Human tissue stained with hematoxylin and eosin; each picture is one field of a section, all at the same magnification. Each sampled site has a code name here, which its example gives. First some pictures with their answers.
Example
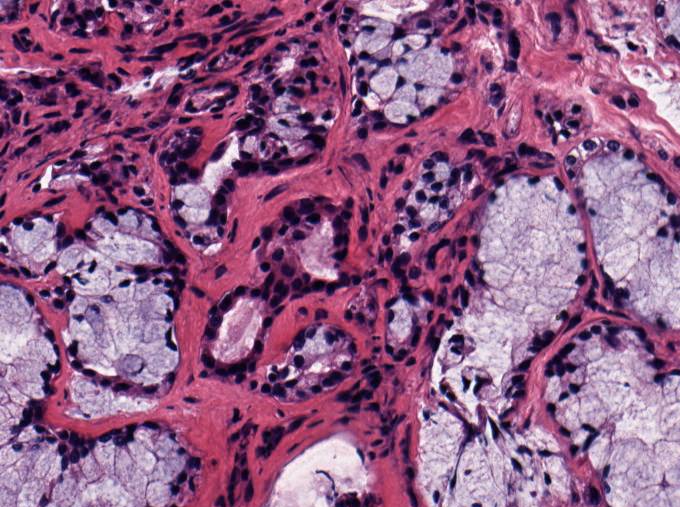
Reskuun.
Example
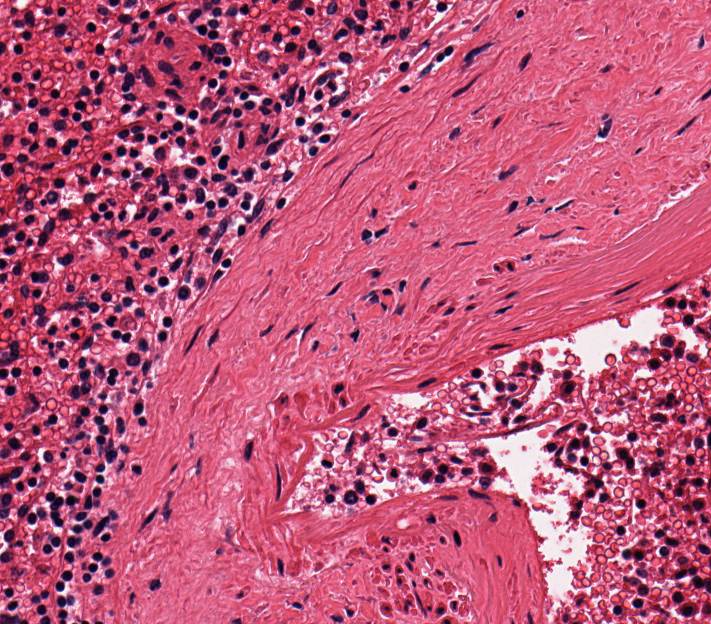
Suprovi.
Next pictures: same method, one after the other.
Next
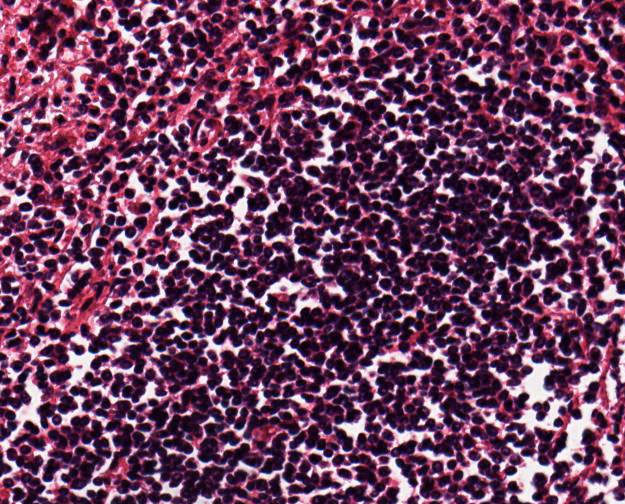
Suprovi.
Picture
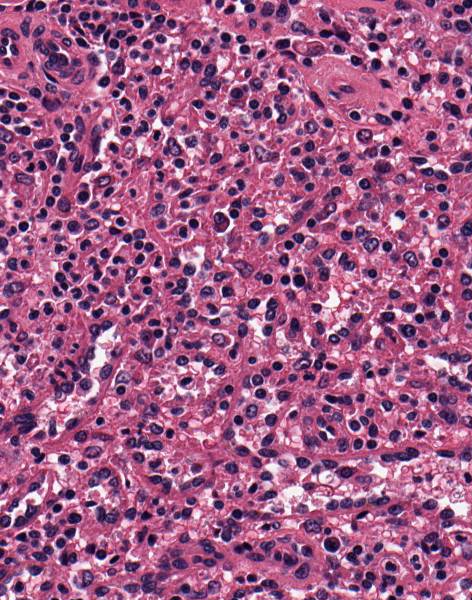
Suprovi.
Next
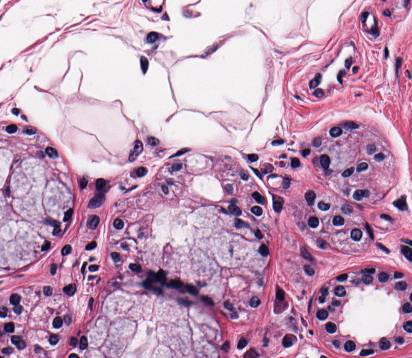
Reskuun.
